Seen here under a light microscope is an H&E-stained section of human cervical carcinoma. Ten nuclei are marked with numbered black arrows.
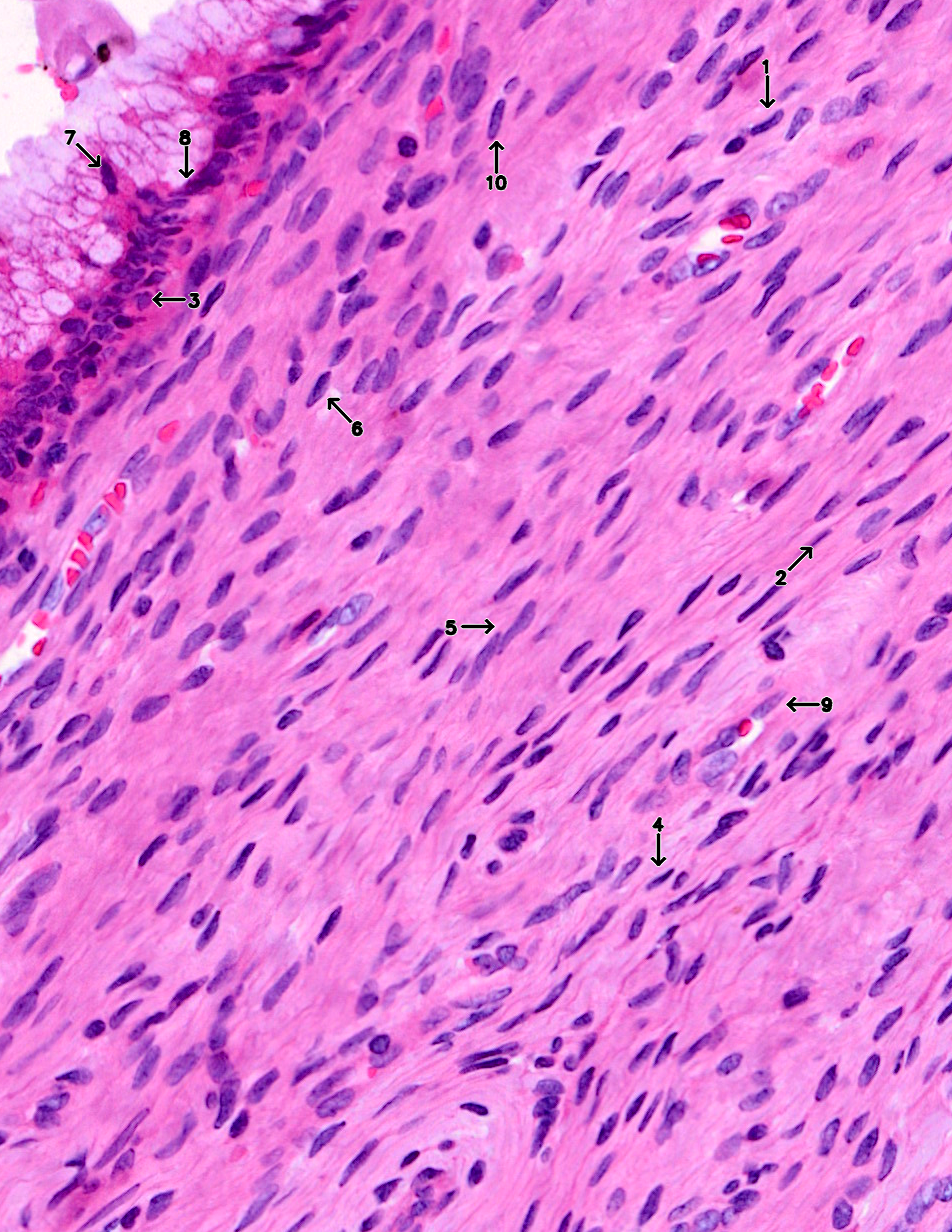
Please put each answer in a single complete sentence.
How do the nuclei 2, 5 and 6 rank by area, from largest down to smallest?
From largest to smallest, the order is 5, 6, 2.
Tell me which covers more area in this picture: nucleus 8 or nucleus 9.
Nucleus 9 is the larger one, covering about 2 times the area of nucleus 8.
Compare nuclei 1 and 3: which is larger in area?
Number 1 is larger; its area is about 2 times that of number 3.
